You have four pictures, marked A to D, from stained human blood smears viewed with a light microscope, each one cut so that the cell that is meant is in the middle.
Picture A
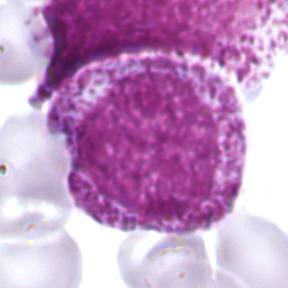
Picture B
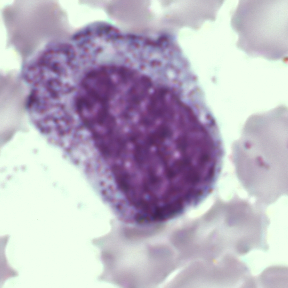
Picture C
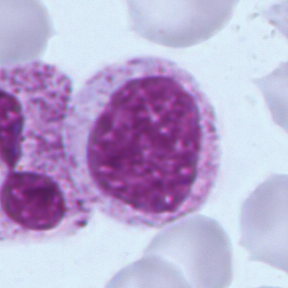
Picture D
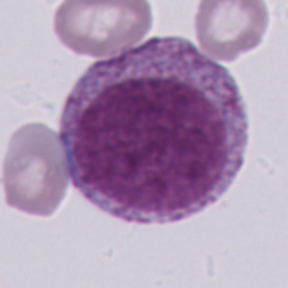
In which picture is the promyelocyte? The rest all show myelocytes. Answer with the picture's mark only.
D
